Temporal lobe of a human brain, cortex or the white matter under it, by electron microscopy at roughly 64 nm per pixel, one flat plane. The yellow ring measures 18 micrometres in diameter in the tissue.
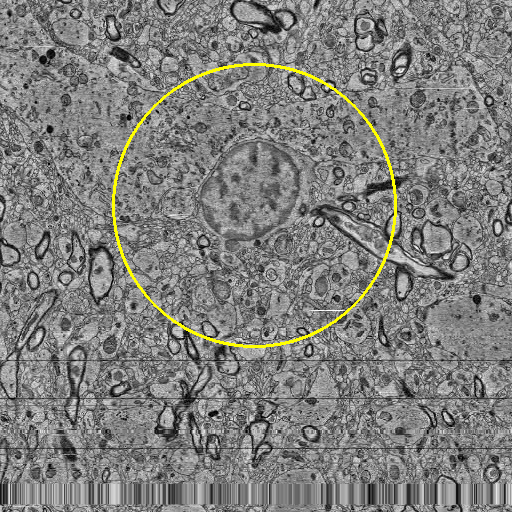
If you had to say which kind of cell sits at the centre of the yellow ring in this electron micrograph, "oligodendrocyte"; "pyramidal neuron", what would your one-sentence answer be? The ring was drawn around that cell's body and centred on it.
The cell sitting at the centre of the ring is an oligodendrocyte.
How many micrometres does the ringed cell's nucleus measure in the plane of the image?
In this plane, the nucleus of the cell at the centre of the ring measures about 7 by 6 micrometres.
